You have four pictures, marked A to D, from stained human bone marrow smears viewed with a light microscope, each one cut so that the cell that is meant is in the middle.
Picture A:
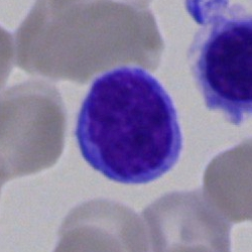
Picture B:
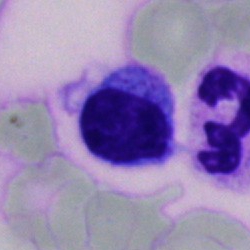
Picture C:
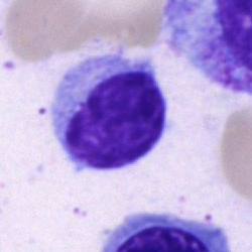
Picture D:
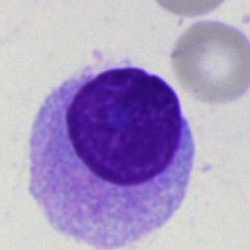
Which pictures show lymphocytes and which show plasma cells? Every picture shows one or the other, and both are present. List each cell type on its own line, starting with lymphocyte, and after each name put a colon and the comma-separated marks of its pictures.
lymphocyte: A, B, C
plasma cell: D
